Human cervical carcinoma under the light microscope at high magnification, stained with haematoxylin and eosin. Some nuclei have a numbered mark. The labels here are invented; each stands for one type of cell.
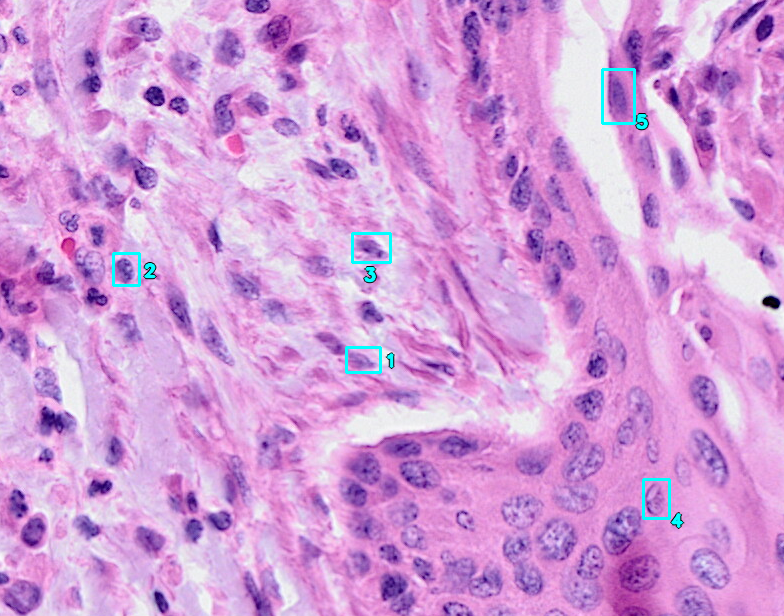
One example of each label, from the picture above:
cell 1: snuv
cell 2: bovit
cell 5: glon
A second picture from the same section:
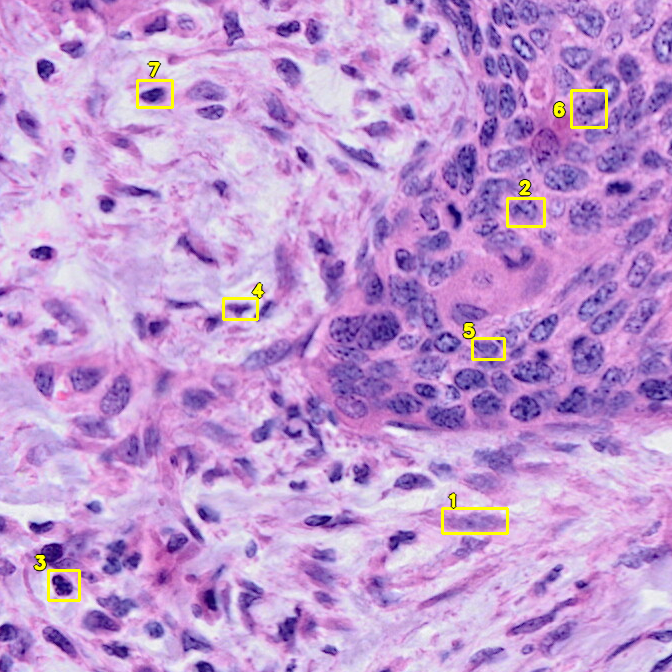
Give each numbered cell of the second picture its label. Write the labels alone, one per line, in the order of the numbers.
snuv
glon
bovit
snuv
glon
glon
bovit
